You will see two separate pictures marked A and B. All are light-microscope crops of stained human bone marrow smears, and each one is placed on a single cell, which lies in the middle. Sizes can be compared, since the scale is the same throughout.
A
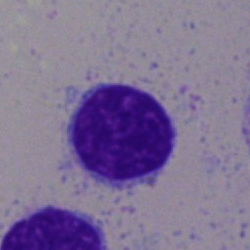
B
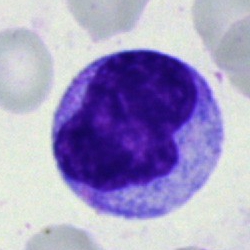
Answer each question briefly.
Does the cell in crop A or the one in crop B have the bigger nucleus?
B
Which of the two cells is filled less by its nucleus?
B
